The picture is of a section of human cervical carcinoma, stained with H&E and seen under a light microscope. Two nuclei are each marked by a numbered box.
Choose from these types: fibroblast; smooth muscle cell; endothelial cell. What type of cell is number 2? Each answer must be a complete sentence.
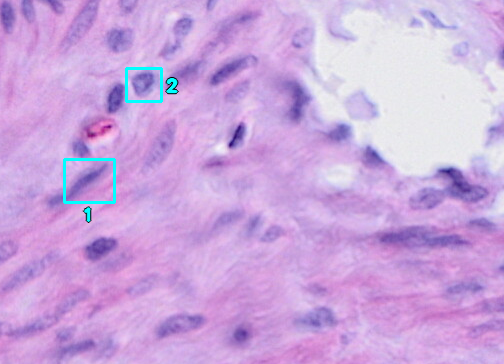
At number 2, the marked cell is a fibroblast.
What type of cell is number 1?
Regarding cell 1, this one is a smooth muscle cell.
